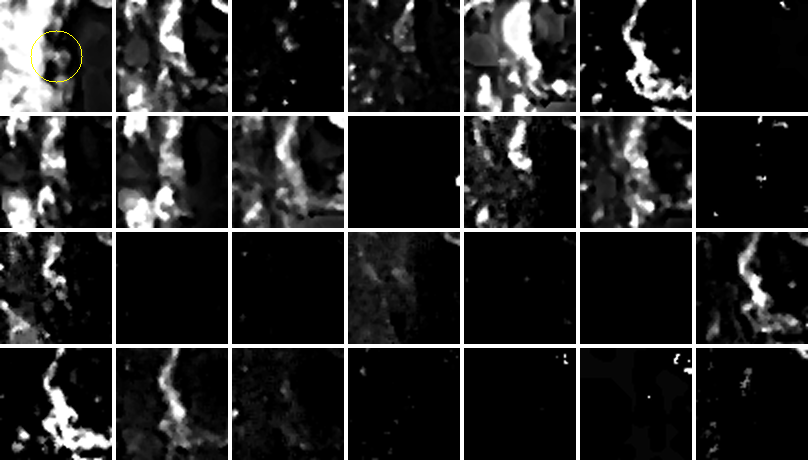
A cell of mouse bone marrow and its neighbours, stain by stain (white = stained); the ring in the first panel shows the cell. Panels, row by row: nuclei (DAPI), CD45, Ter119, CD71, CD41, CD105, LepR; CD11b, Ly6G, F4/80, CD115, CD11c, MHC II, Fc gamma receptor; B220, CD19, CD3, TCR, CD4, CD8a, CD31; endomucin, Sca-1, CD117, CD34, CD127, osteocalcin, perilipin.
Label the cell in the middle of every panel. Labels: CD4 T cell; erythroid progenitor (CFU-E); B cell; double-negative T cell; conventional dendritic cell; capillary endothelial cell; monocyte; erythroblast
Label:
conventional dendritic cell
